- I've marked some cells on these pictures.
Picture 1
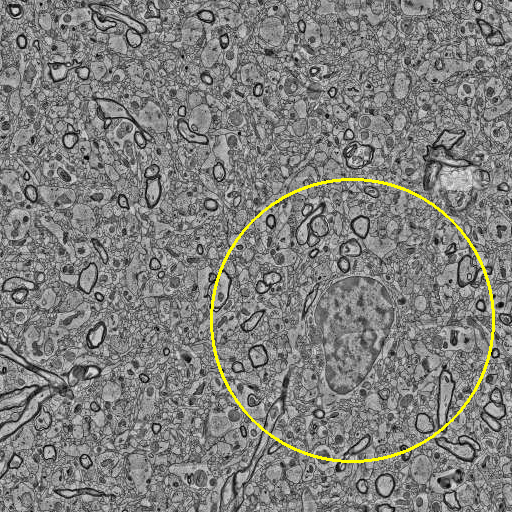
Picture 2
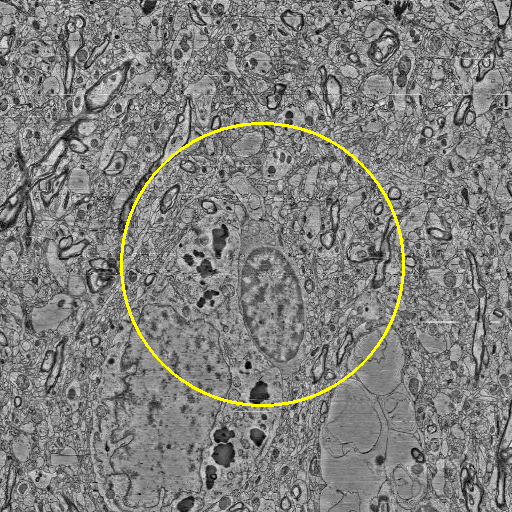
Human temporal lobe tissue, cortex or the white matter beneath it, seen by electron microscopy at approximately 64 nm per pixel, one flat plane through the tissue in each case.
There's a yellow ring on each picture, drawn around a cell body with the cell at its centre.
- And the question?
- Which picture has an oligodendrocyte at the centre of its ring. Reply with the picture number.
2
